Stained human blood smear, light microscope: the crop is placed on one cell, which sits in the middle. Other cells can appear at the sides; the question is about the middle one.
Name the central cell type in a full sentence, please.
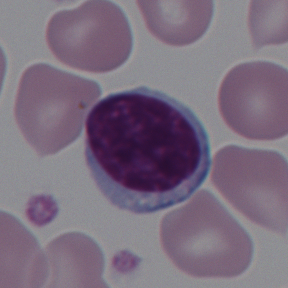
Answering briefly, the cell in the middle is a typical lymphocyte.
